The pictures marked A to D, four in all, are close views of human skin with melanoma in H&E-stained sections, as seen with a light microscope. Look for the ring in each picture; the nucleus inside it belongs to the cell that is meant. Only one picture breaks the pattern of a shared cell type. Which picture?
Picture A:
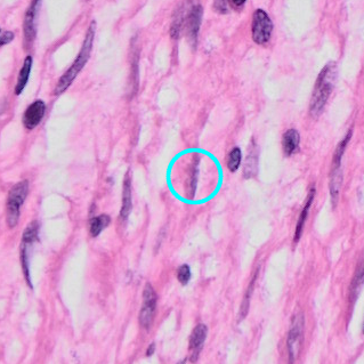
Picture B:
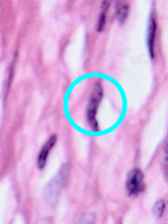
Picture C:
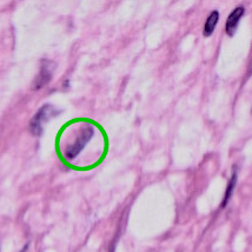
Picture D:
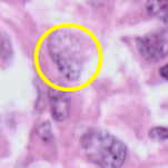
D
